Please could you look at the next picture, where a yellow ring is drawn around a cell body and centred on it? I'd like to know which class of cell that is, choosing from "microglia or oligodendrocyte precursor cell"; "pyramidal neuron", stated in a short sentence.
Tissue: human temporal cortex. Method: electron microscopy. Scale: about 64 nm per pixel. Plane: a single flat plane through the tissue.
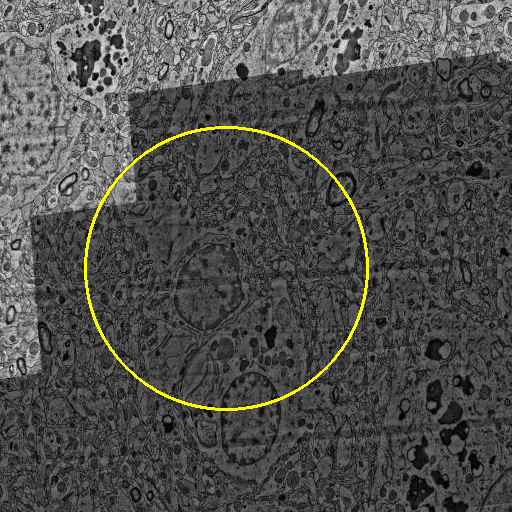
The ring's centre lies on a microglial cell or oligodendrocyte precursor cell.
